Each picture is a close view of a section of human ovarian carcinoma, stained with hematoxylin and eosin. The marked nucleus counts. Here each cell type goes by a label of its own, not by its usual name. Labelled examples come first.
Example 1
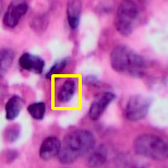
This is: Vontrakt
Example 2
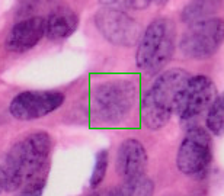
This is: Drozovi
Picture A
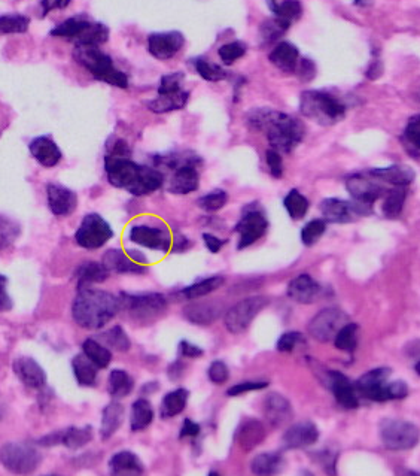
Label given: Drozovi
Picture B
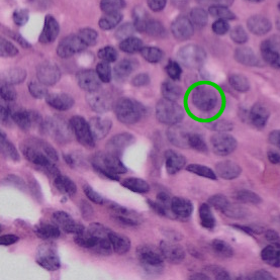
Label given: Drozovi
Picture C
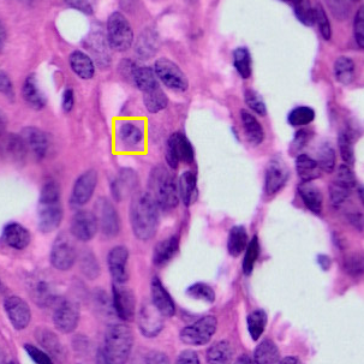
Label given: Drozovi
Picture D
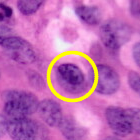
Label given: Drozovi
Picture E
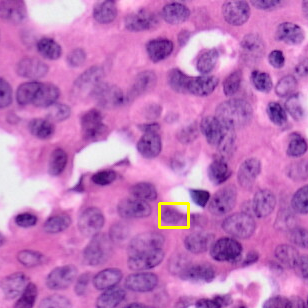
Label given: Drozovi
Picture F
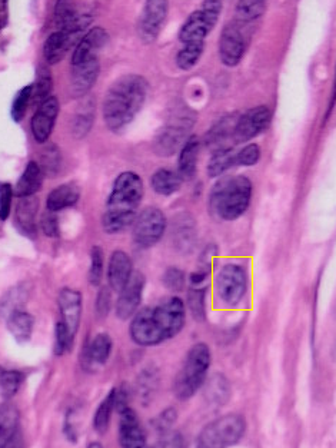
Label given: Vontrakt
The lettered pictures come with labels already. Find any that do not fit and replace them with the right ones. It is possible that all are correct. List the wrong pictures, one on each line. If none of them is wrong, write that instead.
C: Vontrakt, not Drozovi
